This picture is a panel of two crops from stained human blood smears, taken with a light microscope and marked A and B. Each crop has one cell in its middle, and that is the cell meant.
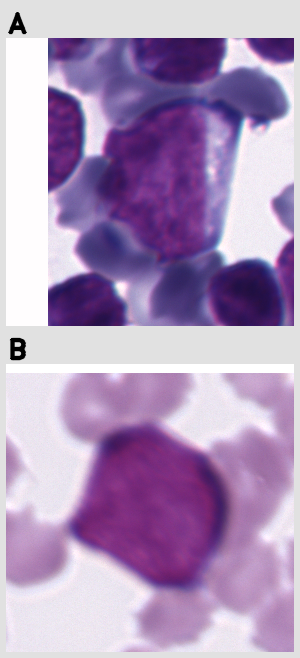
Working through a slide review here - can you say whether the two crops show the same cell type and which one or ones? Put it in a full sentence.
Yes, for both crops, the central cells are myeloblasts.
